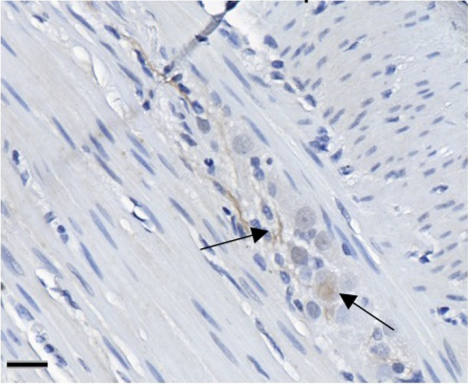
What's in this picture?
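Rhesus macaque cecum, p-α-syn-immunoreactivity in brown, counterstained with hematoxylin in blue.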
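Long spindle-shaped smooth muscle cells with slender blue nuclei run diagonally across the field. Between them runs a strand of larger rounded cells with pale cytoplasm and round nuclei, some faintly brown, with thin brown fibres alongside. This strand is a myenteric ganglion with its nerve cell bodies and fibres set in the muscle wall.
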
